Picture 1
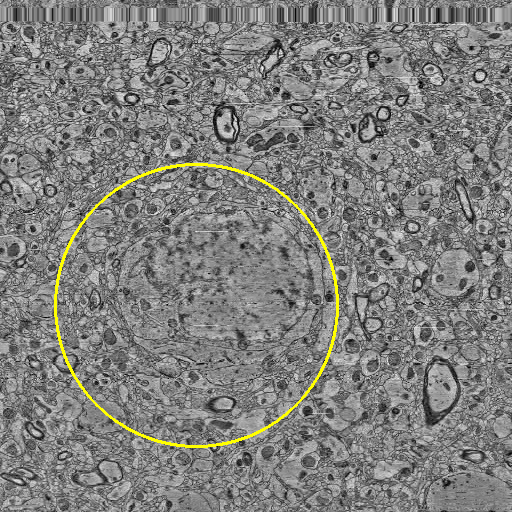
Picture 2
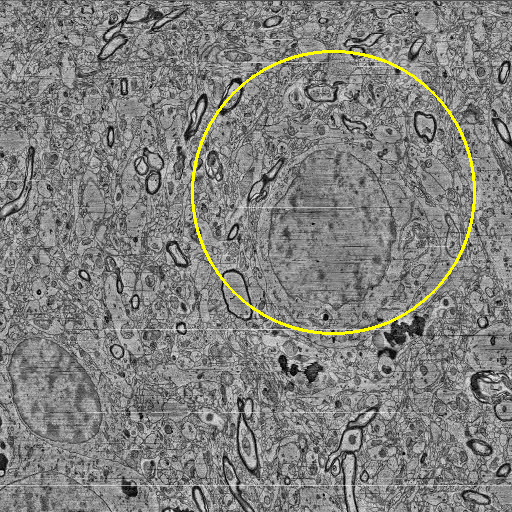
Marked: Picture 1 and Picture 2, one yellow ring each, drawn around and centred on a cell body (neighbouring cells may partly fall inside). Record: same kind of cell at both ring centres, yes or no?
yes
